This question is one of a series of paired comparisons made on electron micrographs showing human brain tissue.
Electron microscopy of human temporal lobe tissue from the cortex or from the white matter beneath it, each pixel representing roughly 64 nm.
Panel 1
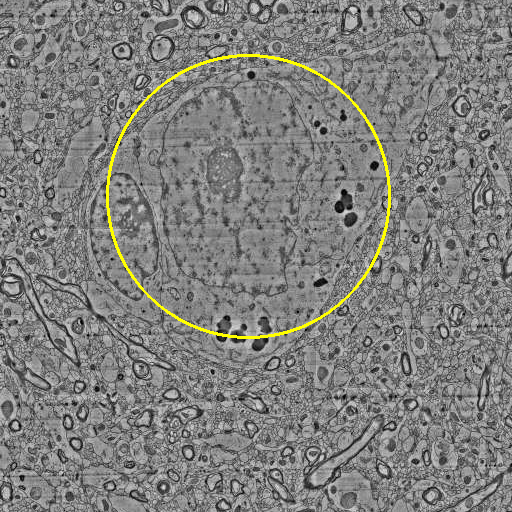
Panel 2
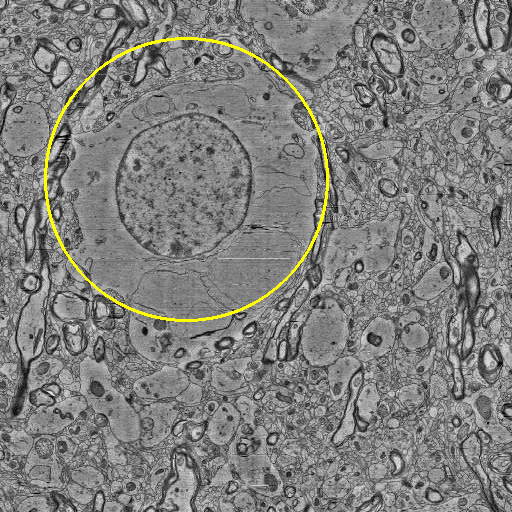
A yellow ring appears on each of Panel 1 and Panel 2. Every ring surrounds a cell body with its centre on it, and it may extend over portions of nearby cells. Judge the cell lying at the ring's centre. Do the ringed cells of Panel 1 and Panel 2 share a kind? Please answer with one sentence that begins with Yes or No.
No, the ring-centre cell in Panel 1 and the one in Panel 2 are of two kinds.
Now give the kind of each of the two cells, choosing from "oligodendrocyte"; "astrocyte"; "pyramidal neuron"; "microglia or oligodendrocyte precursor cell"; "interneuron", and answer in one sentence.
The cell in the first picture is a pyramidal neuron, and the cell in the second is an astrocyte.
